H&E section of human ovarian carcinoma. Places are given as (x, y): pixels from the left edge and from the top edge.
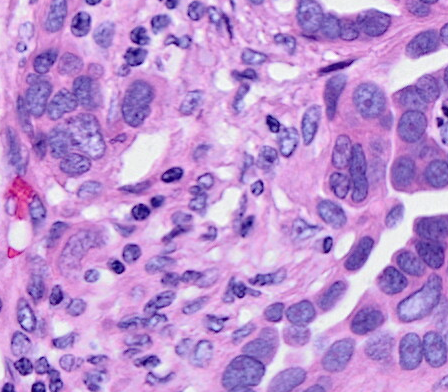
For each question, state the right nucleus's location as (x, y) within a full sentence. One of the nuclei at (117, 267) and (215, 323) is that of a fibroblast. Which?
The member of the pair belonging to a fibroblast is the nucleus at (215, 323).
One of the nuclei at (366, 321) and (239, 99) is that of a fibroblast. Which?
Of the two nuclei, that at (239, 99) is the nucleus of a fibroblast.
